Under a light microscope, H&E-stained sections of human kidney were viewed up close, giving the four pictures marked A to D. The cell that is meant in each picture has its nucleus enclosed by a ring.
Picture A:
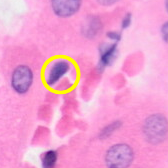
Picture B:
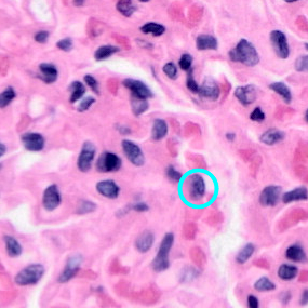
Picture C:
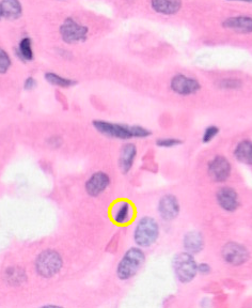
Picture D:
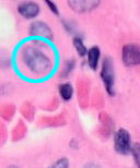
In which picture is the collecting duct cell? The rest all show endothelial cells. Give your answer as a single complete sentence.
The collecting duct cell is the one in picture D.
